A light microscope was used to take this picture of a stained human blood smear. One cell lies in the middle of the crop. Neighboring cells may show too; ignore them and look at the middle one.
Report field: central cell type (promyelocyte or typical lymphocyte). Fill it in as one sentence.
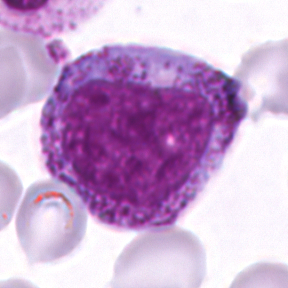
The cell under consideration, at the middle of the crop, is a promyelocyte.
